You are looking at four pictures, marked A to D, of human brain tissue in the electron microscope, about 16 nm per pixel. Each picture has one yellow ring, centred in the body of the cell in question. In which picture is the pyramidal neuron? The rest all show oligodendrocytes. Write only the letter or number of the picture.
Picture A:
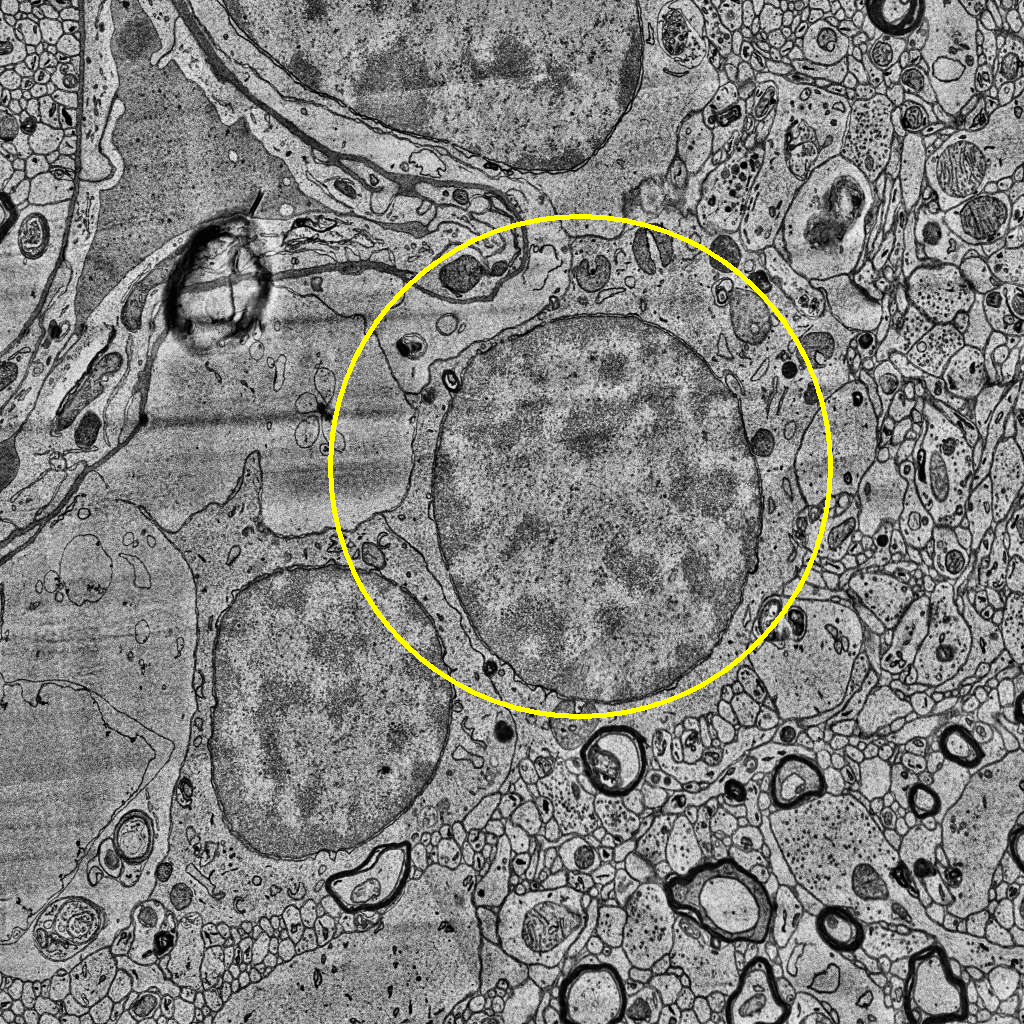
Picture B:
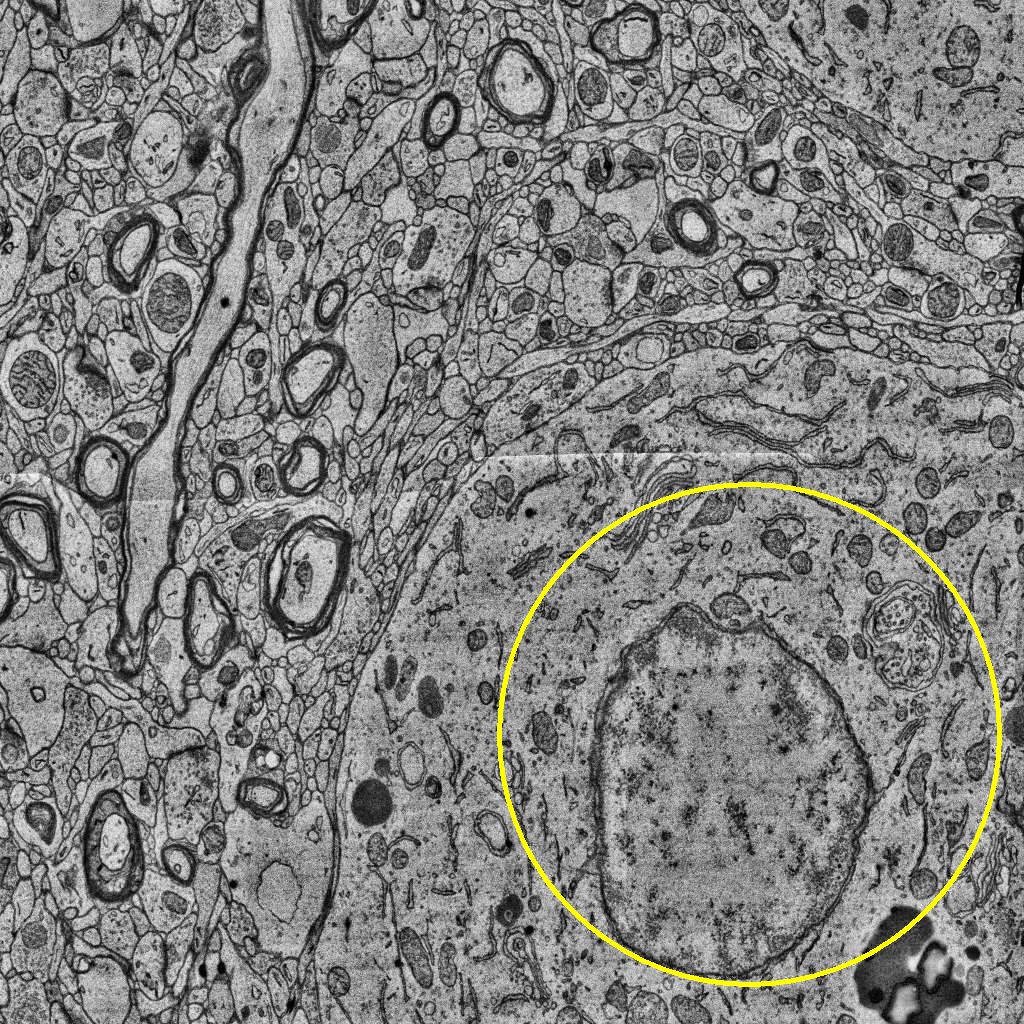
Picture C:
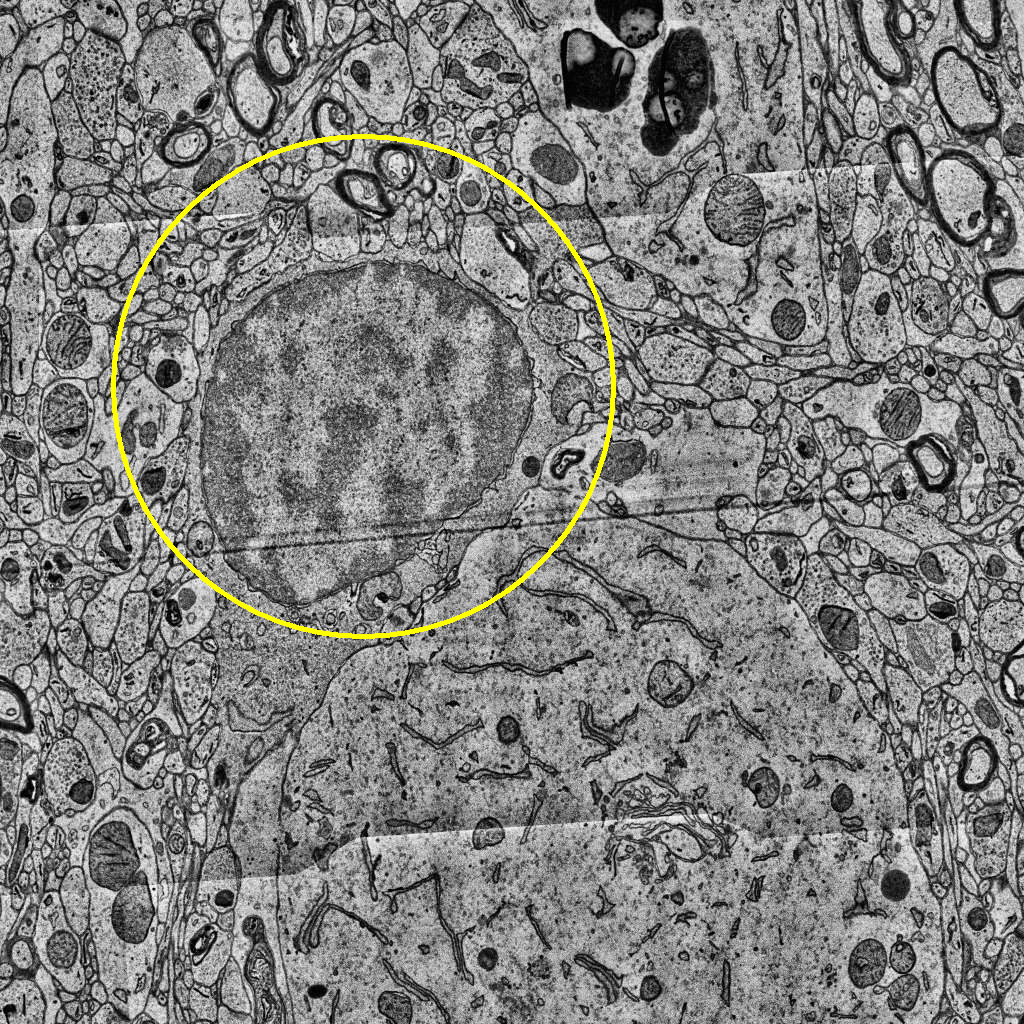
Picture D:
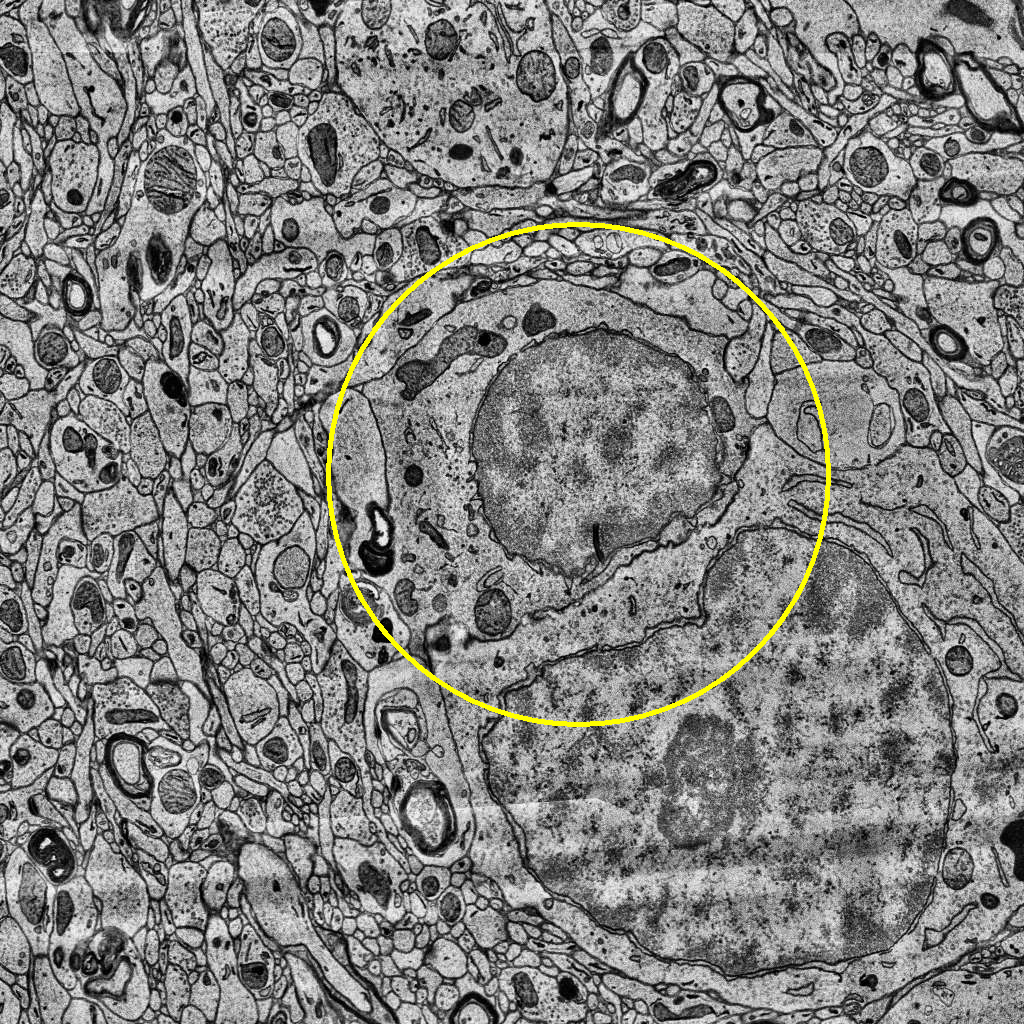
B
